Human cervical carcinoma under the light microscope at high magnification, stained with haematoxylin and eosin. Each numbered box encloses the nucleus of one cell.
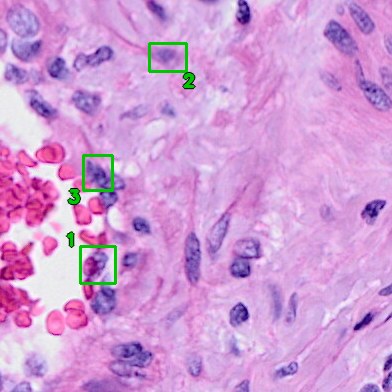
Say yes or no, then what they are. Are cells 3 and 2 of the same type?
No, as to type, cell 3 is an endothelial cell, and cell 2 is a smooth muscle cell.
